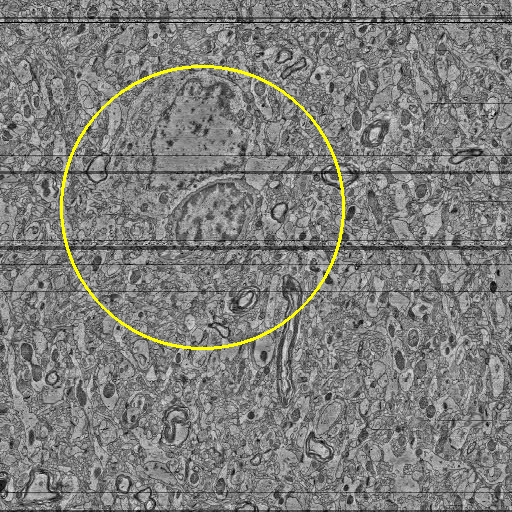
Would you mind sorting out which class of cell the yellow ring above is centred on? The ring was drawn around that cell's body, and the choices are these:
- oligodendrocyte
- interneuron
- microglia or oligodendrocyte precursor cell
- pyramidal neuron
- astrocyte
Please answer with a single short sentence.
This is the cell body of an oligodendrocyte.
